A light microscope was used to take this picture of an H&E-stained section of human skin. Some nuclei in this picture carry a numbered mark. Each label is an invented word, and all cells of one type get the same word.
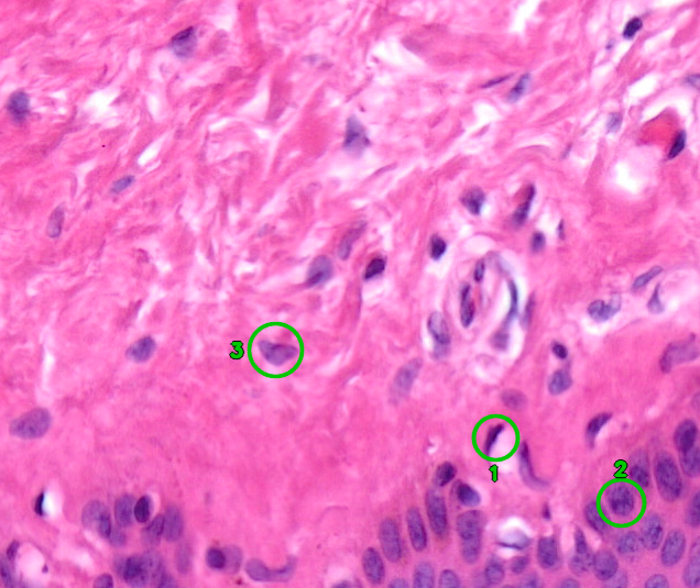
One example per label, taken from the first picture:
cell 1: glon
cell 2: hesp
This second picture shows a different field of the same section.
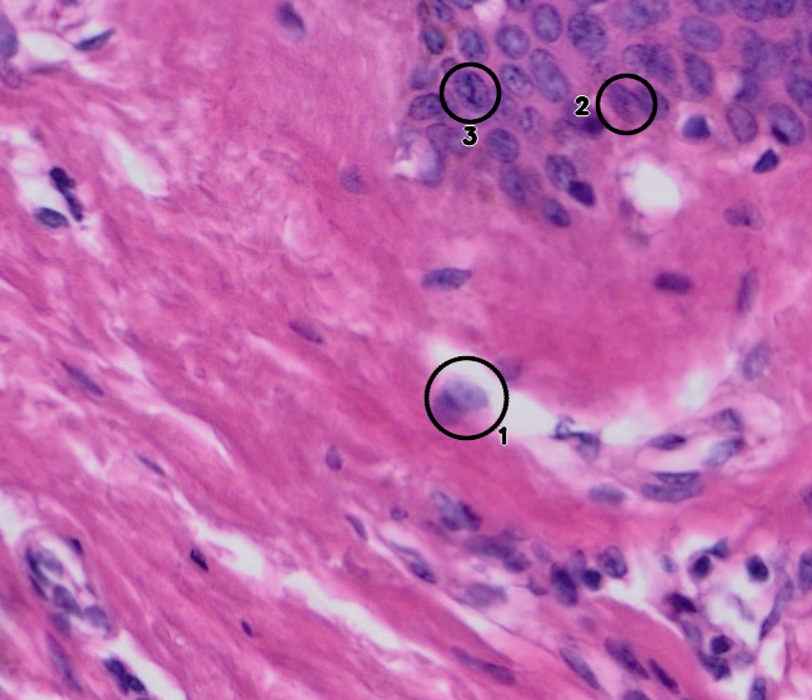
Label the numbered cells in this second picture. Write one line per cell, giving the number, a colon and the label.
1: glon
2: hesp
3: hesp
